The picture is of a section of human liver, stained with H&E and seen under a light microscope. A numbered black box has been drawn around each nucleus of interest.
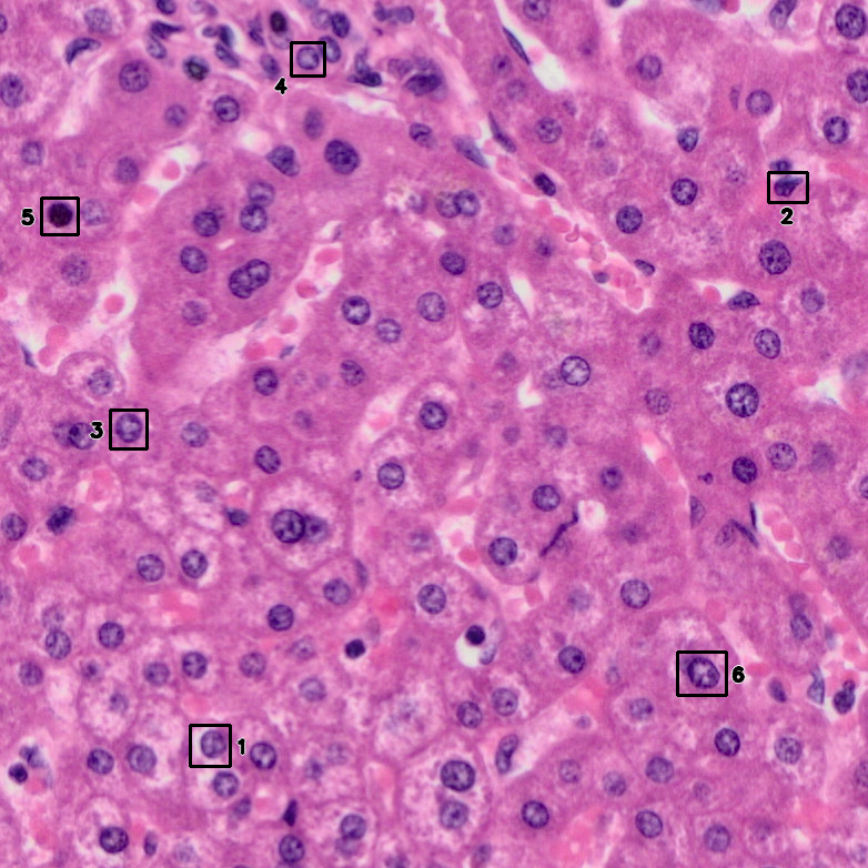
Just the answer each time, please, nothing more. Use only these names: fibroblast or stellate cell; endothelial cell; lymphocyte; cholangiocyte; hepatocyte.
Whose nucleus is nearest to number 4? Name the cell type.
cholangiocyte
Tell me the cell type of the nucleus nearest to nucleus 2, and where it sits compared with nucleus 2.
a lymphocyte, above nucleus 2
